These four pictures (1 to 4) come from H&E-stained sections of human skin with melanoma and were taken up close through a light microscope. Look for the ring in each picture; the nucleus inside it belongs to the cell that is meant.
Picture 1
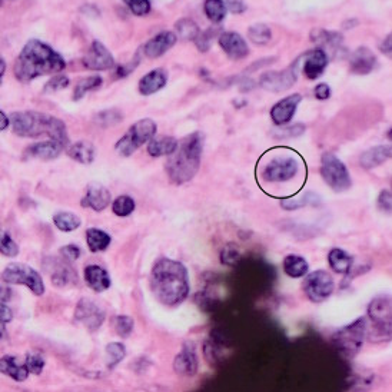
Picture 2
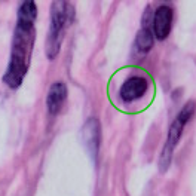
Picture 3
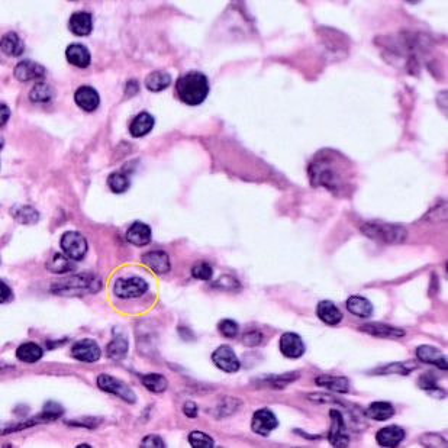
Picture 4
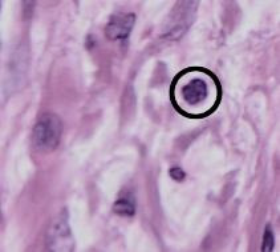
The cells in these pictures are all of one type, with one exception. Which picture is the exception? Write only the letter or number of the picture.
2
